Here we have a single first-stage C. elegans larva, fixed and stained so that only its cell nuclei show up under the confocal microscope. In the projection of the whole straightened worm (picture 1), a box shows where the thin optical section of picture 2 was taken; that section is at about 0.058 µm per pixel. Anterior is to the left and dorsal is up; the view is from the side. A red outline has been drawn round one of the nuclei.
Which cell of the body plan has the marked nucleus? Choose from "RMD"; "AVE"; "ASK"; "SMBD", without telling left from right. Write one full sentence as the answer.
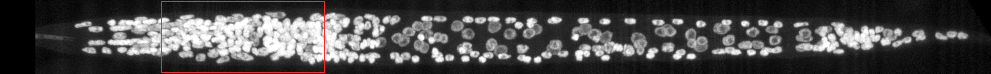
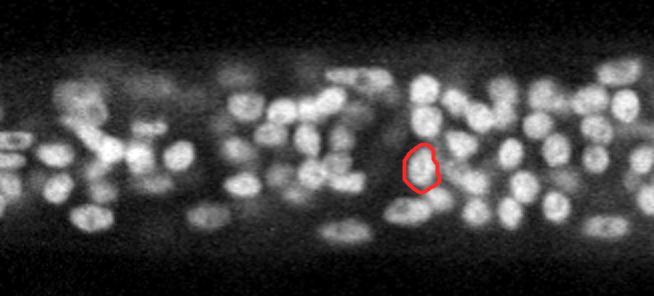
The marked cell is RMD, a neuron.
